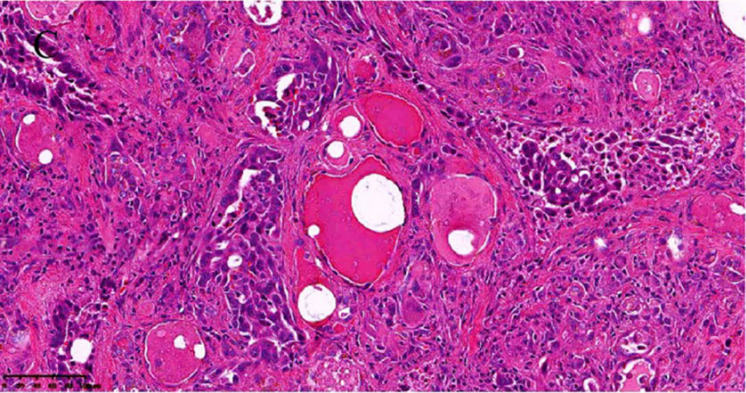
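This is thyroid tissue in which atypical epithelial tumor cells infiltrate among thyroid follicles. The follicles appear as round spaces filled with homogeneous pink colloid, some with clear round vacuoles. Between them lie crowded epithelial cells with dark, enlarged and irregular nuclei arranged in solid sheets, nests and gland-like structures. Small slit-like and round lumens are seen within the tumor cell groups, and pink stroma separates the nests.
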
